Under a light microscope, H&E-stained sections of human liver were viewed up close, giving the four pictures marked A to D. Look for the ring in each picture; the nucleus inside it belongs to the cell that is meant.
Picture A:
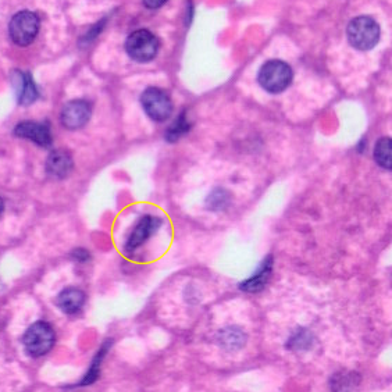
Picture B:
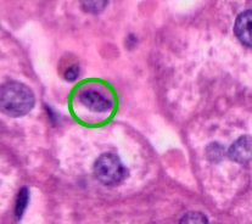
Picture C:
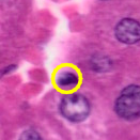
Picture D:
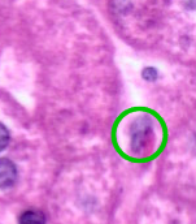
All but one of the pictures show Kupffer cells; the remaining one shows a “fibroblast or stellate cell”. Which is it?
C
